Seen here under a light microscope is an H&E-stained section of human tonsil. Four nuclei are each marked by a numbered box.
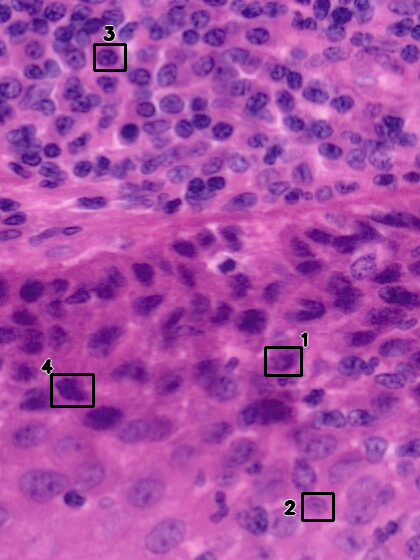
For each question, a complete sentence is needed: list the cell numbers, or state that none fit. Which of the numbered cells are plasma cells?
Within the set of numbered cells, only number 3 is a plasma cell.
